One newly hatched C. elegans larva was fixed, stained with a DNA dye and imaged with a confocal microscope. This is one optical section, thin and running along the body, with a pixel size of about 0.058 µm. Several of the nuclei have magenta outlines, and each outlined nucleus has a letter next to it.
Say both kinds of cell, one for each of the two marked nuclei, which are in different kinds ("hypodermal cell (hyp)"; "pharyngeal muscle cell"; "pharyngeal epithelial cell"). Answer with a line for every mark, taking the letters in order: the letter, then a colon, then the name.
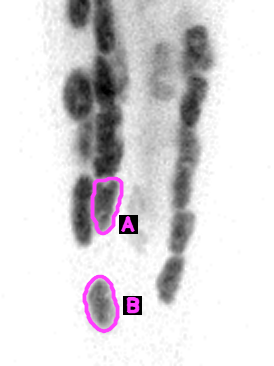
A: pharyngeal epithelial cell
B: hypodermal cell (hyp)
